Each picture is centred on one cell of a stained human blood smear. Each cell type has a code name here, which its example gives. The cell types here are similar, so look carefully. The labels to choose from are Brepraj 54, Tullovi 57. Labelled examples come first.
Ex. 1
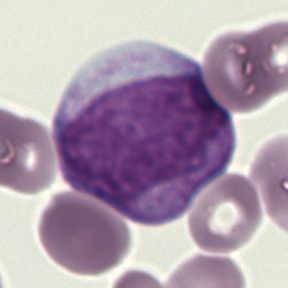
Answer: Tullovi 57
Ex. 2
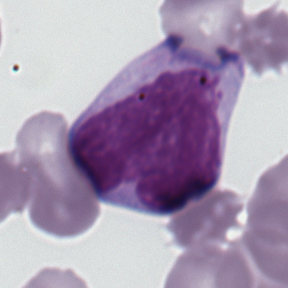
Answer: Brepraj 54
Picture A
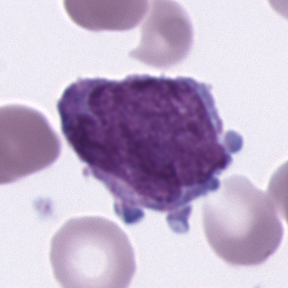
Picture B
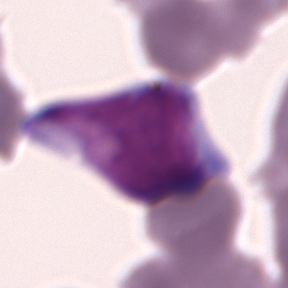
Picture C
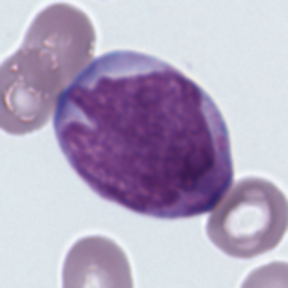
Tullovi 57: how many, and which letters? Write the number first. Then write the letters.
2: A, C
